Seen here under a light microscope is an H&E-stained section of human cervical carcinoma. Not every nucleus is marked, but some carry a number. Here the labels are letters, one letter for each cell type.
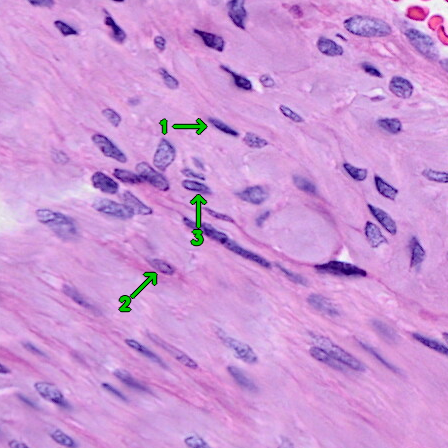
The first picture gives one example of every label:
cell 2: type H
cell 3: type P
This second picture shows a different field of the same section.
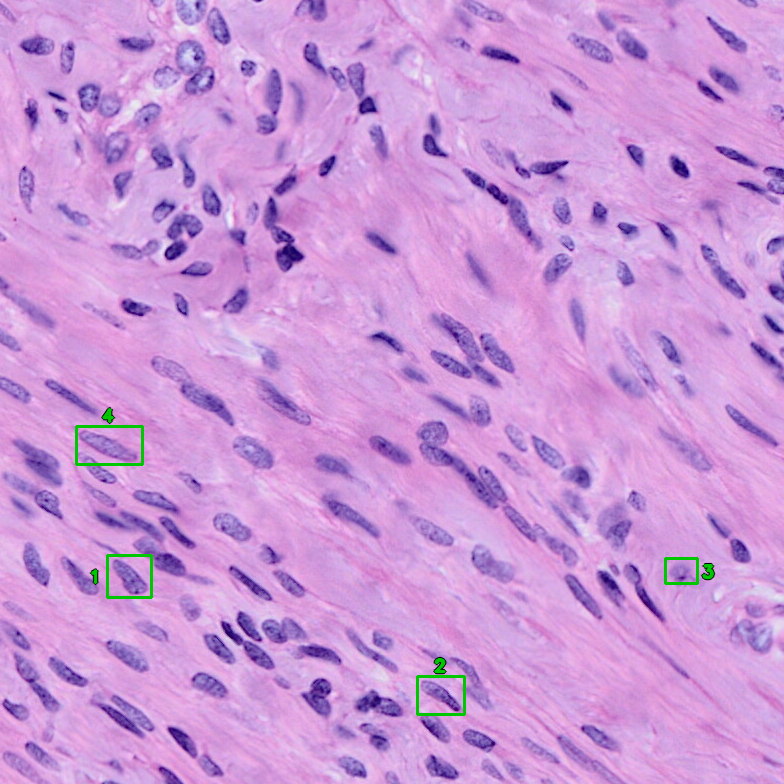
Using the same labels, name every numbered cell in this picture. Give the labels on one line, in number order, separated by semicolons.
type P; type P; type P; type H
